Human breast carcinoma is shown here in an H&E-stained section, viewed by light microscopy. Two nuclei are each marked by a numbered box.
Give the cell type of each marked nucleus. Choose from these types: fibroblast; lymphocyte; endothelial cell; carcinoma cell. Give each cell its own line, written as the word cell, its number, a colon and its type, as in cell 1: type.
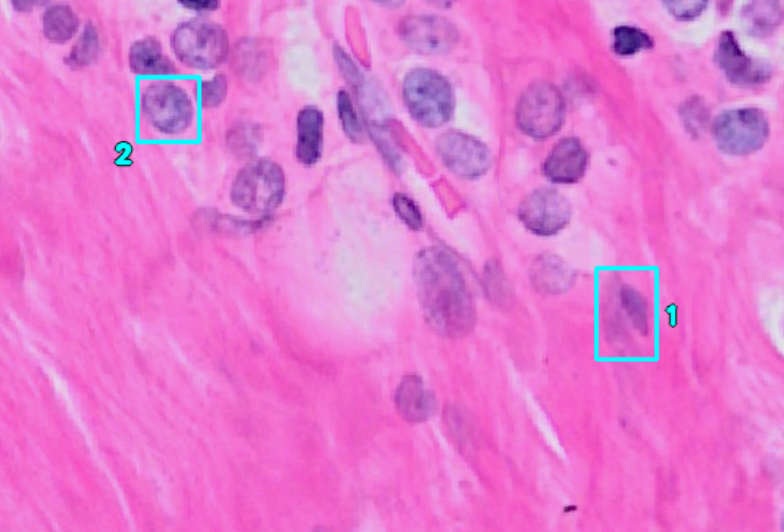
cell 1: fibroblast
cell 2: carcinoma cell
